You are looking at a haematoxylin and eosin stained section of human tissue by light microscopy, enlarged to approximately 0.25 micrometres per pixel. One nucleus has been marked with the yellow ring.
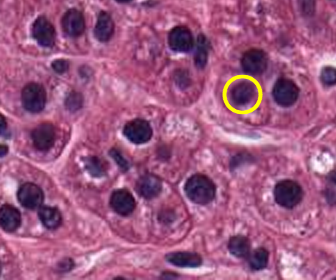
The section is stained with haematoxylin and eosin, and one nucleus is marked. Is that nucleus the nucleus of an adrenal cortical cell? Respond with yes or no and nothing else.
yes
